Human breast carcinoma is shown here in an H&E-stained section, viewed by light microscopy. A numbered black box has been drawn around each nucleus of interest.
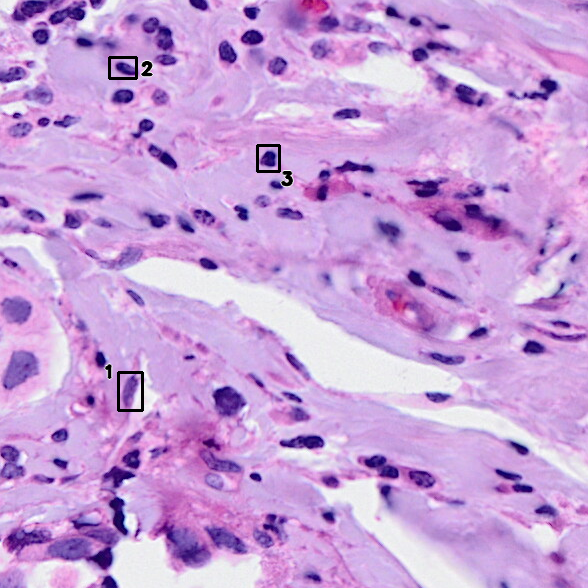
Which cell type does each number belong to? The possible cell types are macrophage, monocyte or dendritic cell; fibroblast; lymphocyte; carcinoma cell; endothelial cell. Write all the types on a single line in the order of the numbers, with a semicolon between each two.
fibroblast; lymphocyte; lymphocyte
